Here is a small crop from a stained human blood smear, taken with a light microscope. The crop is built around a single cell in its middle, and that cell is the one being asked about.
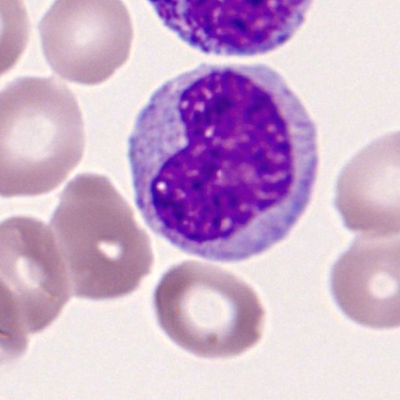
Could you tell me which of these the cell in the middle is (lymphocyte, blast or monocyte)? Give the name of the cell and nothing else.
monocyte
